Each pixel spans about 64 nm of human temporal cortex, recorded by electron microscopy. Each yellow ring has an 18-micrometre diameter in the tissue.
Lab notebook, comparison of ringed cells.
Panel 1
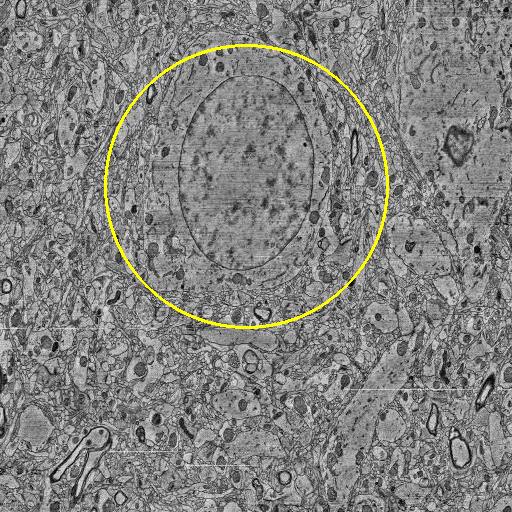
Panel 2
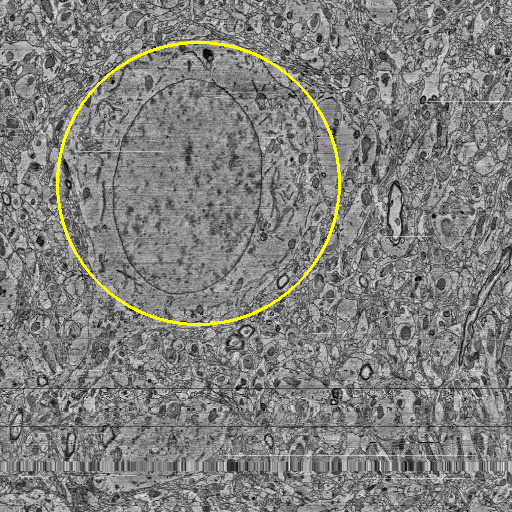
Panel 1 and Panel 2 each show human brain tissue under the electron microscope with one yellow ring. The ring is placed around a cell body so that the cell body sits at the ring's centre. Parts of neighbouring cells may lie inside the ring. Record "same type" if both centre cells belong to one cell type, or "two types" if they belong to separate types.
same type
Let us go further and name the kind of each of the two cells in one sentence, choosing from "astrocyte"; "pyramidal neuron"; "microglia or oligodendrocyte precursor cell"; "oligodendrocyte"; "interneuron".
Each of the two pictures has a pyramidal neuron at the ring centre.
